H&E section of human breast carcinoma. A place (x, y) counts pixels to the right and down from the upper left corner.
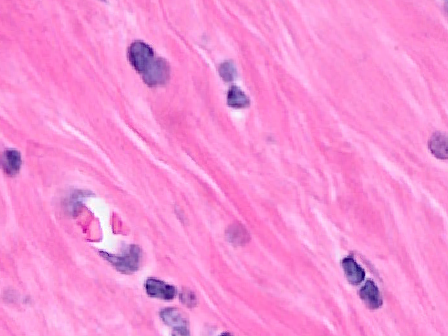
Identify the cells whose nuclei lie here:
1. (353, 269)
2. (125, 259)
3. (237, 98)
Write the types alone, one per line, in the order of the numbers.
lymphocyte
endothelial cell
lymphocyte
